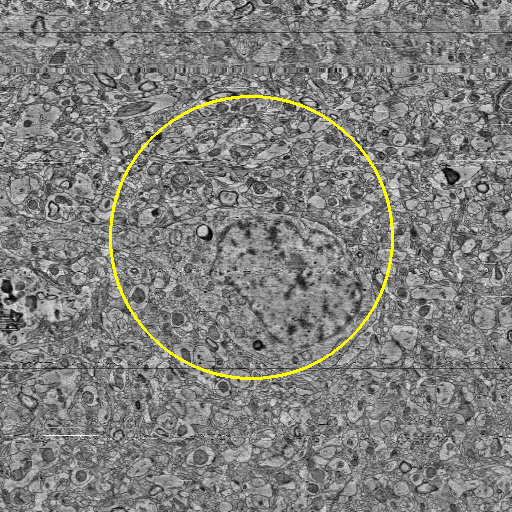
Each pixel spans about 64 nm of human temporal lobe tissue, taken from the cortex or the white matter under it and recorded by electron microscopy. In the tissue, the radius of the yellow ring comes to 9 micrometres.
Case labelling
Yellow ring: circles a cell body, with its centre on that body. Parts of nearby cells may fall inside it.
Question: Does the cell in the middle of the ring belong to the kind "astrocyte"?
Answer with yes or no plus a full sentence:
No, in this picture the cell in the middle of the yellow ring belongs to a different kind.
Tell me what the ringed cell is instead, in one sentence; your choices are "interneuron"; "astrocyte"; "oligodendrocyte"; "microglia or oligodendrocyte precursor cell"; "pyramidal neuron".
The cell at the ring centre is an interneuron.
